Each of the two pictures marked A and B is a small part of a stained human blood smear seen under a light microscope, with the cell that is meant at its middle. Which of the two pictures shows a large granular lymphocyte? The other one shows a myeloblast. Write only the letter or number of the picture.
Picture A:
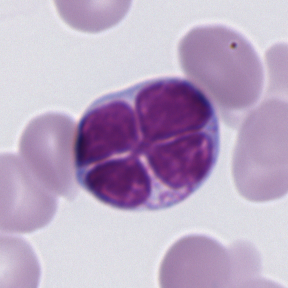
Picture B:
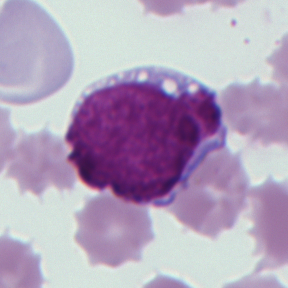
A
